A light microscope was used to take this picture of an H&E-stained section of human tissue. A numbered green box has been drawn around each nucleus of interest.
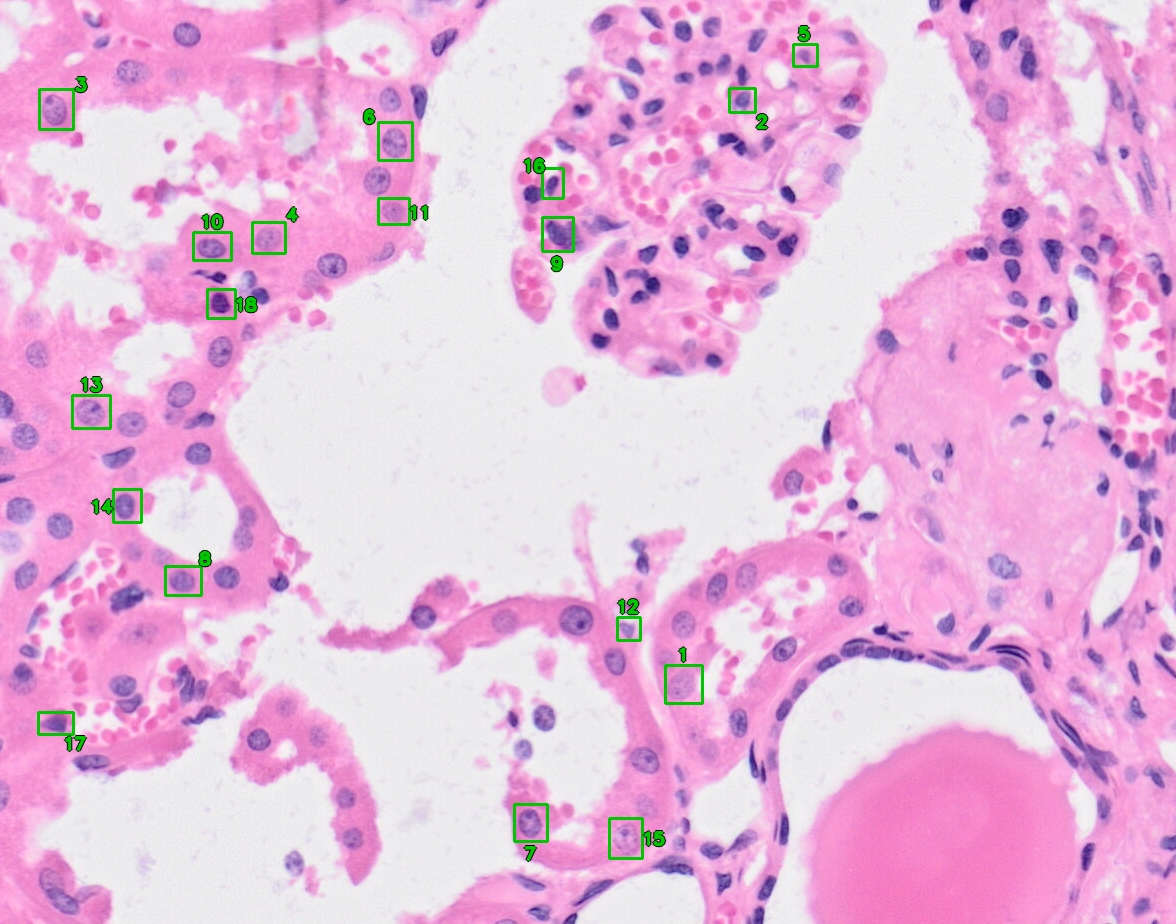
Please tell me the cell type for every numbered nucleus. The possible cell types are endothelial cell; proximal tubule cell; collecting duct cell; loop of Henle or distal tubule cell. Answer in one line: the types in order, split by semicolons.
proximal tubule cell; endothelial cell; proximal tubule cell; proximal tubule cell; endothelial cell; proximal tubule cell; proximal tubule cell; loop of Henle or distal tubule cell; endothelial cell; proximal tubule cell; proximal tubule cell; endothelial cell; proximal tubule cell; loop of Henle or distal tubule cell; proximal tubule cell; endothelial cell; endothelial cell; proximal tubule cell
